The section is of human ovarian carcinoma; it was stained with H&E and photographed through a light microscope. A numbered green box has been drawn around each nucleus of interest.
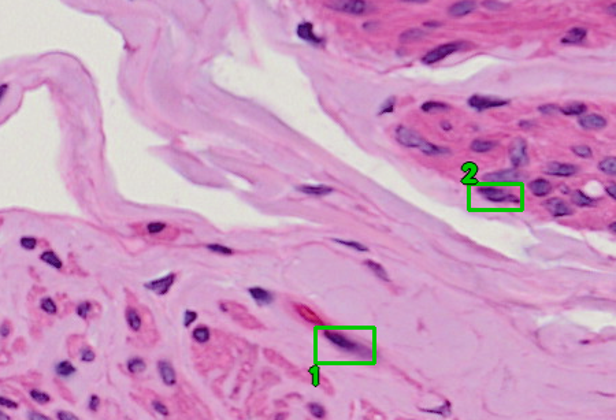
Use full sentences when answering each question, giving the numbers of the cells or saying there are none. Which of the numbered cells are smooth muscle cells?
Cell 2 is a smooth muscle cell; every other numbered cell is something else.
